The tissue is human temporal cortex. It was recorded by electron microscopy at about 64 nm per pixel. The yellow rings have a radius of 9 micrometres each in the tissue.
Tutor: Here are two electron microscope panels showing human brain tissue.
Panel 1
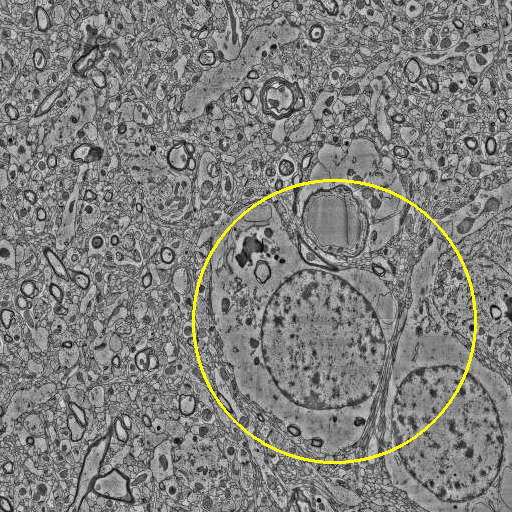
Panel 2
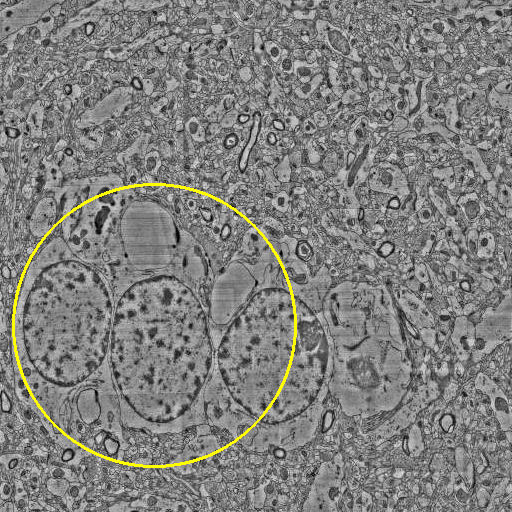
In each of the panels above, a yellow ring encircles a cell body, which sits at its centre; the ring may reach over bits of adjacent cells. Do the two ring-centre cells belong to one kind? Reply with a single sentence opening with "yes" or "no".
Yes, the two cells sitting at the ring centres in the panels belong to one kind.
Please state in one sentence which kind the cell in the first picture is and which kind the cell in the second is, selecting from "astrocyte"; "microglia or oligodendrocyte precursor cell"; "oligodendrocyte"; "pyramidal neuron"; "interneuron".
Each of the two cells is an astrocyte.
